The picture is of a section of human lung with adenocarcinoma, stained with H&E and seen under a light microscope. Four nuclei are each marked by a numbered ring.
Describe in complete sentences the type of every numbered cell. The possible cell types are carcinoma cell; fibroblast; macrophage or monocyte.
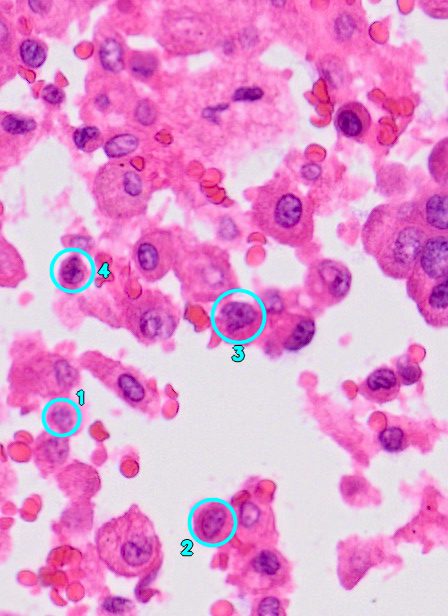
Cells 1, 2 and 4 are macrophages or monocytes. Cell 3 is a carcinoma cell.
